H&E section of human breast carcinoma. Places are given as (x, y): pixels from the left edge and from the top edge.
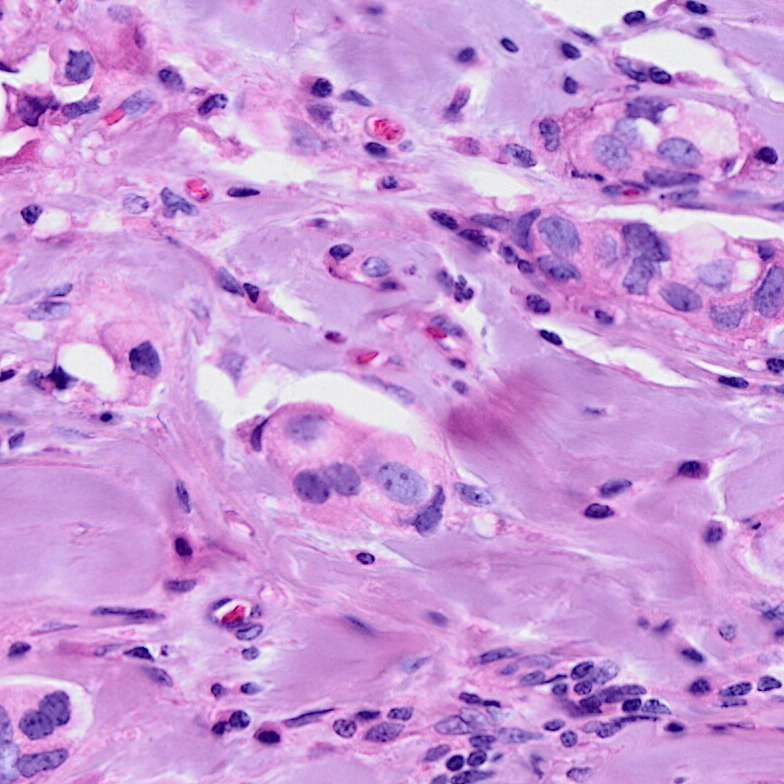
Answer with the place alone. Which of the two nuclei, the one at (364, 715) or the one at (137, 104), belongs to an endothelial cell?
(137, 104)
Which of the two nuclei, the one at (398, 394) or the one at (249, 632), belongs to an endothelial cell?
(249, 632)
